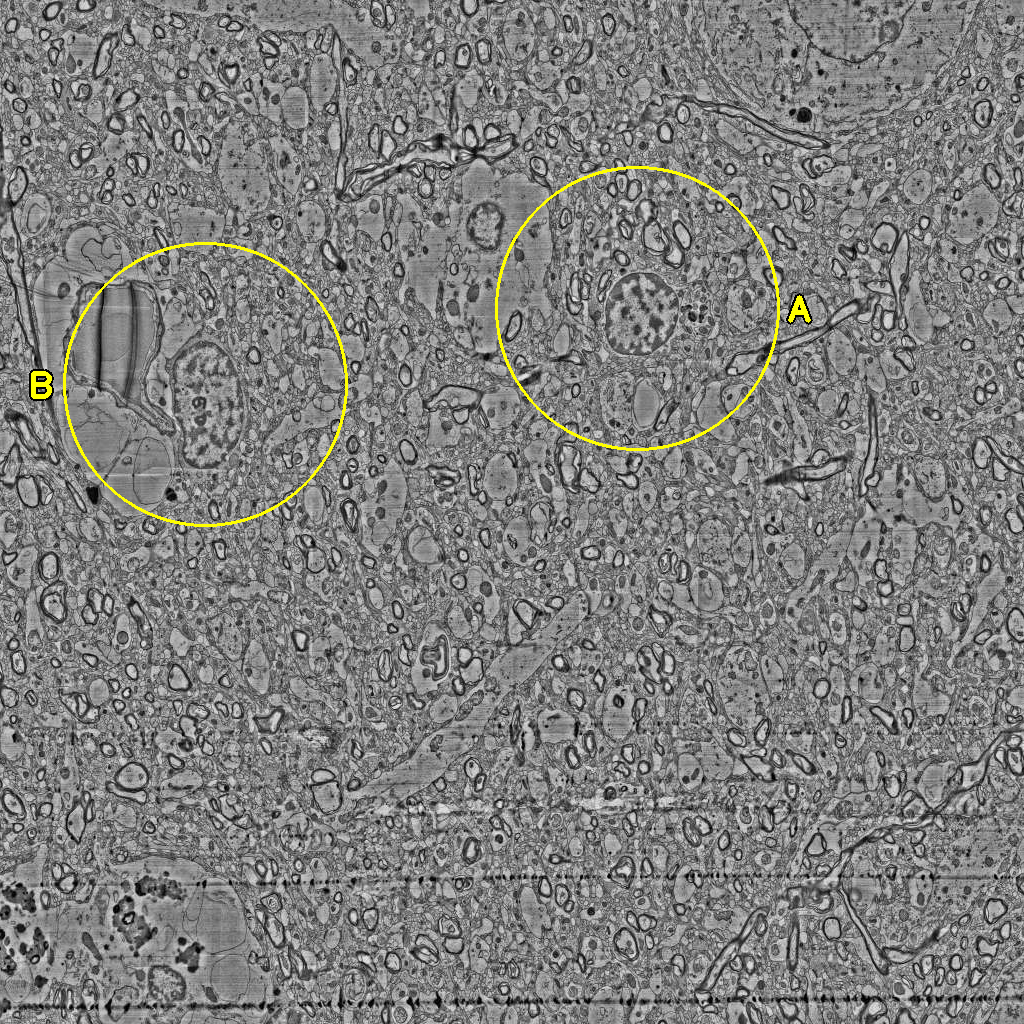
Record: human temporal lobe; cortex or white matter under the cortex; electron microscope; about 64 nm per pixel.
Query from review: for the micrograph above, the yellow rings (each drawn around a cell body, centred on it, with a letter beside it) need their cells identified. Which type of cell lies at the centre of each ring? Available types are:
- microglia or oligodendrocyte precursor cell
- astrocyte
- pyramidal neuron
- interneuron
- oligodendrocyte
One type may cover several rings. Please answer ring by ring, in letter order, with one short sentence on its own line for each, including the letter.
Ring A is drawn around a microglial cell or oligodendrocyte precursor cell.
Ring B is drawn around an oligodendrocyte.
